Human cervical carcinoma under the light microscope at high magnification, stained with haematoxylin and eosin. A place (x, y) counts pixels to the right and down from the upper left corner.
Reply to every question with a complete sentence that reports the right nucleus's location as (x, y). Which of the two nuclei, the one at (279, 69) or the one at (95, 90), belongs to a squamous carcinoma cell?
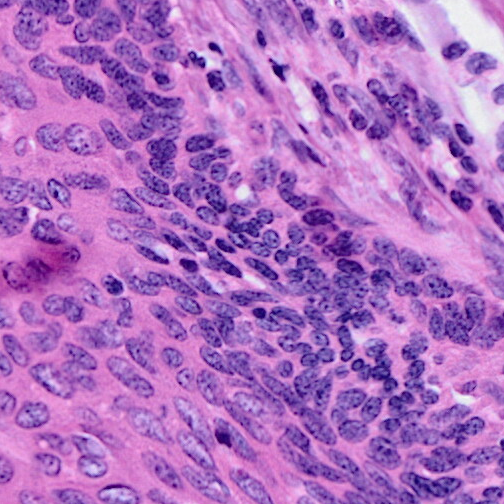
That would be the nucleus at (95, 90); it belongs to a squamous carcinoma cell.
